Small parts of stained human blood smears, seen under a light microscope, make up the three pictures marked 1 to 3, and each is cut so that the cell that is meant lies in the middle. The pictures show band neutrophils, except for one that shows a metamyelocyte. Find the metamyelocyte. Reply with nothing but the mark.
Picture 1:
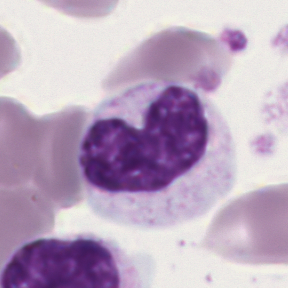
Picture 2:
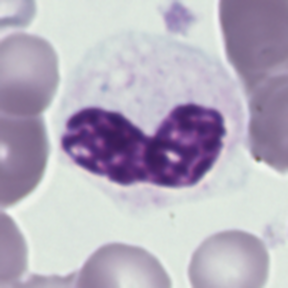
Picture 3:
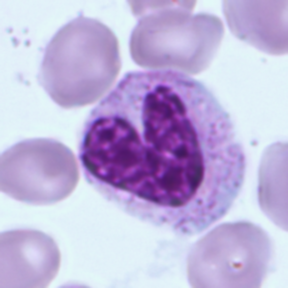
1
